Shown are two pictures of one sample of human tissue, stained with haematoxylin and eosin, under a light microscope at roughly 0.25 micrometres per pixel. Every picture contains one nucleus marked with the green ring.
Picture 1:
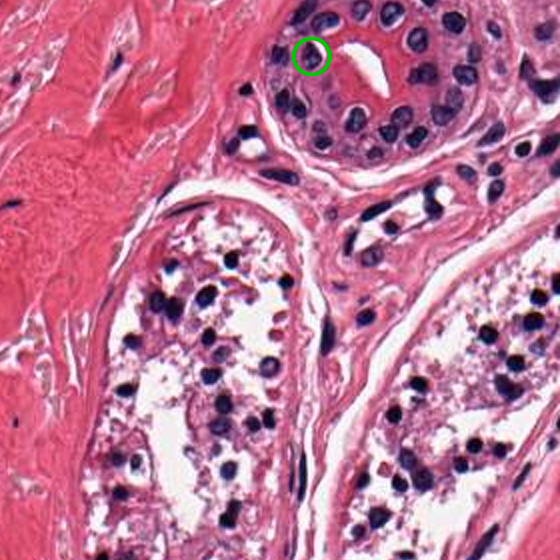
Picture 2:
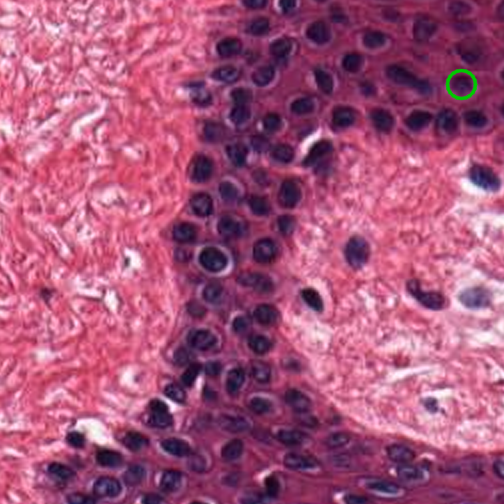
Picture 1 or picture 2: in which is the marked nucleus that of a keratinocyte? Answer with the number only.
2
